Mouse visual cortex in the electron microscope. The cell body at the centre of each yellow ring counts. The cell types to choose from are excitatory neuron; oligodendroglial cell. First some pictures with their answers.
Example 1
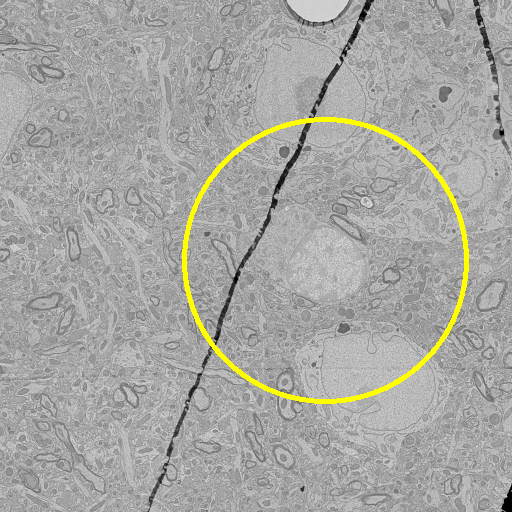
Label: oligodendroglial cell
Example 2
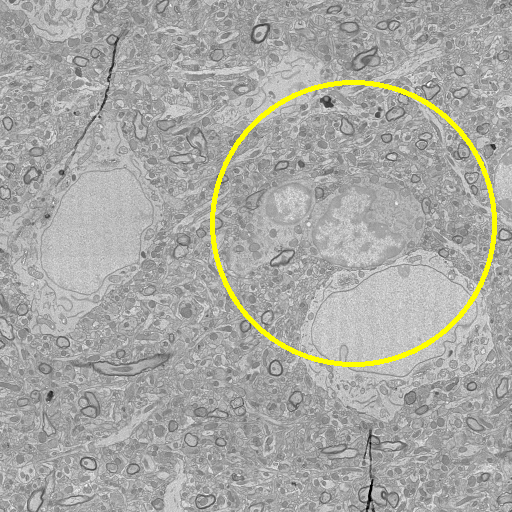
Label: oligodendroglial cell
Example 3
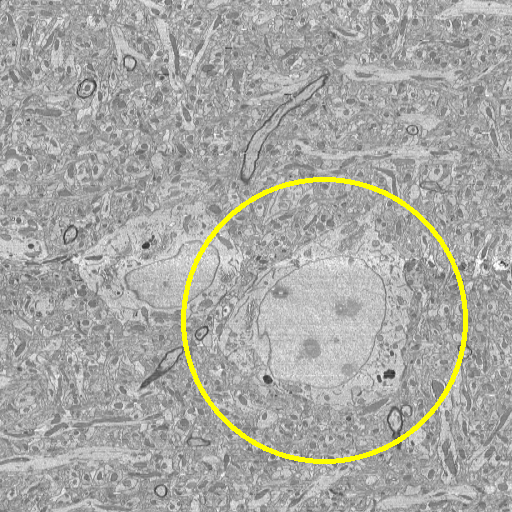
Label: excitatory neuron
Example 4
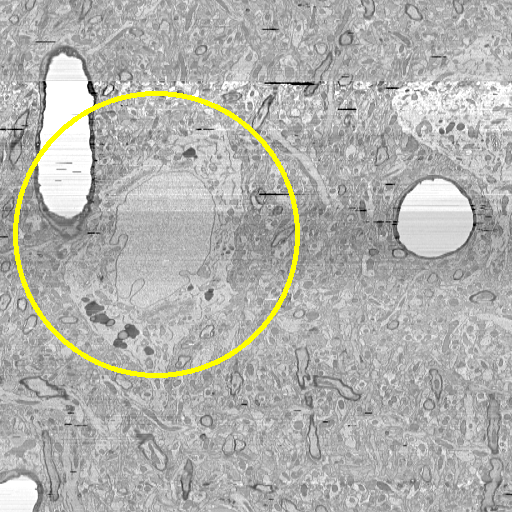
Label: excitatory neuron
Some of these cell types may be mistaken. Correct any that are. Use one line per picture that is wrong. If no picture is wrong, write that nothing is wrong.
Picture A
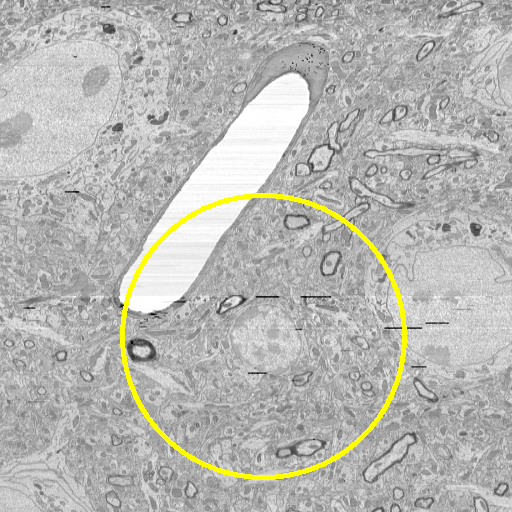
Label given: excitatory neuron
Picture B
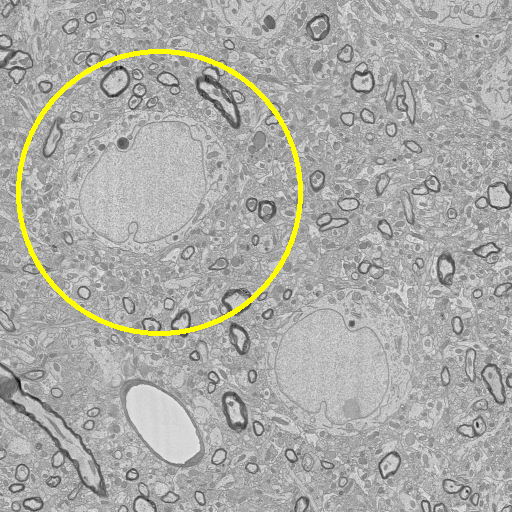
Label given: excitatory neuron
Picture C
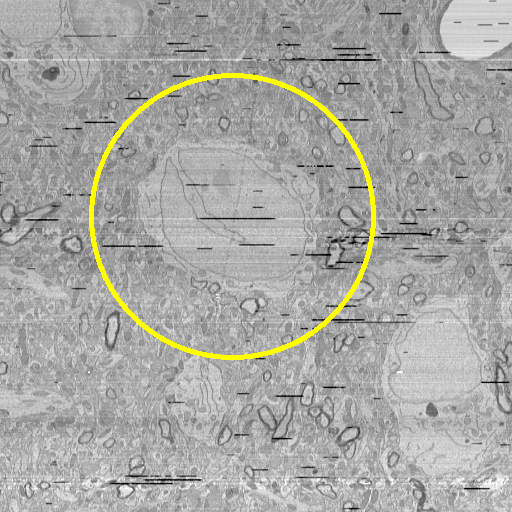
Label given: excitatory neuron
A should be oligodendroglial cell, not excitatory neuron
